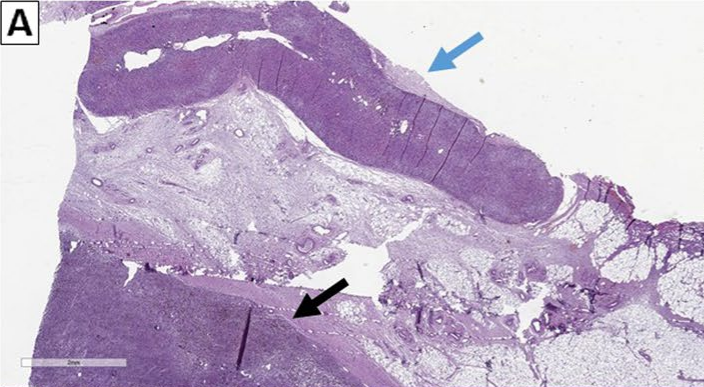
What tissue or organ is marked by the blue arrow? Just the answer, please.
Adrenal gland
